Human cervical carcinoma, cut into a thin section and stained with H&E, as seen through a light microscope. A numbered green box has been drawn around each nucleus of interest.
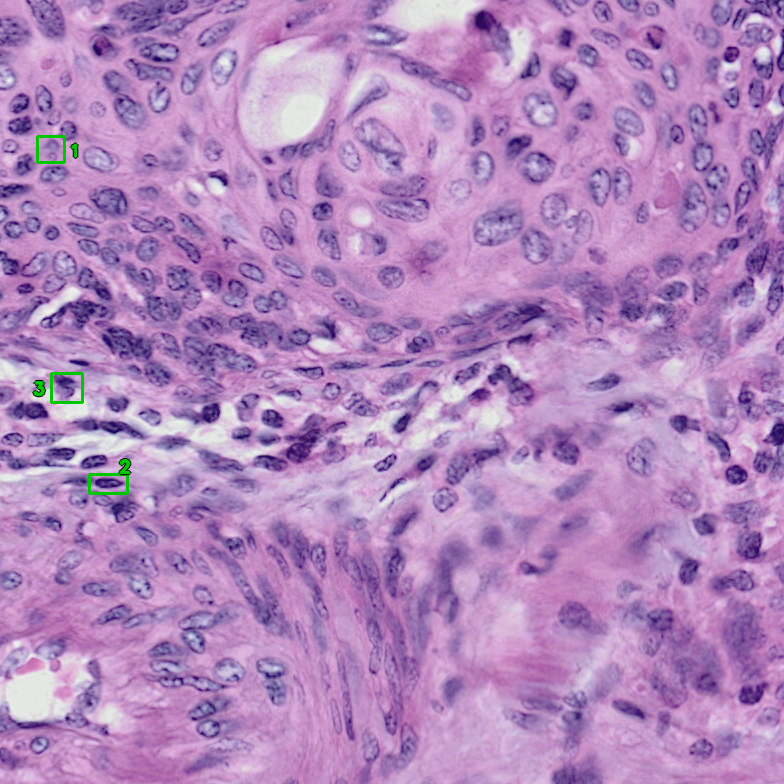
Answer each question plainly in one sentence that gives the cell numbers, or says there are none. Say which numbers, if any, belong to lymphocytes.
The cells given the numbers 2 and 3 are lymphocytes.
